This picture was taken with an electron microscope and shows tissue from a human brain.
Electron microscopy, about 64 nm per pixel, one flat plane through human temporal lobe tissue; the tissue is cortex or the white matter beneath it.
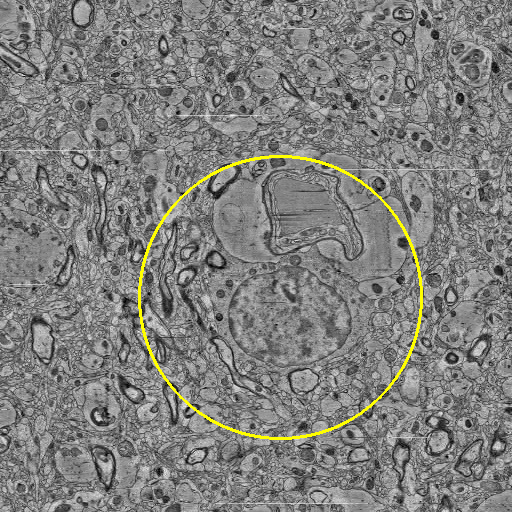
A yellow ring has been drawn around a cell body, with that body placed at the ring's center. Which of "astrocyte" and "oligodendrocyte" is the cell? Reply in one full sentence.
In this picture, an oligodendrocyte is the cell at the center of the yellow ring.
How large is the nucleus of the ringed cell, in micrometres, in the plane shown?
In this plane the nucleus measures roughly 7 micrometres across.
